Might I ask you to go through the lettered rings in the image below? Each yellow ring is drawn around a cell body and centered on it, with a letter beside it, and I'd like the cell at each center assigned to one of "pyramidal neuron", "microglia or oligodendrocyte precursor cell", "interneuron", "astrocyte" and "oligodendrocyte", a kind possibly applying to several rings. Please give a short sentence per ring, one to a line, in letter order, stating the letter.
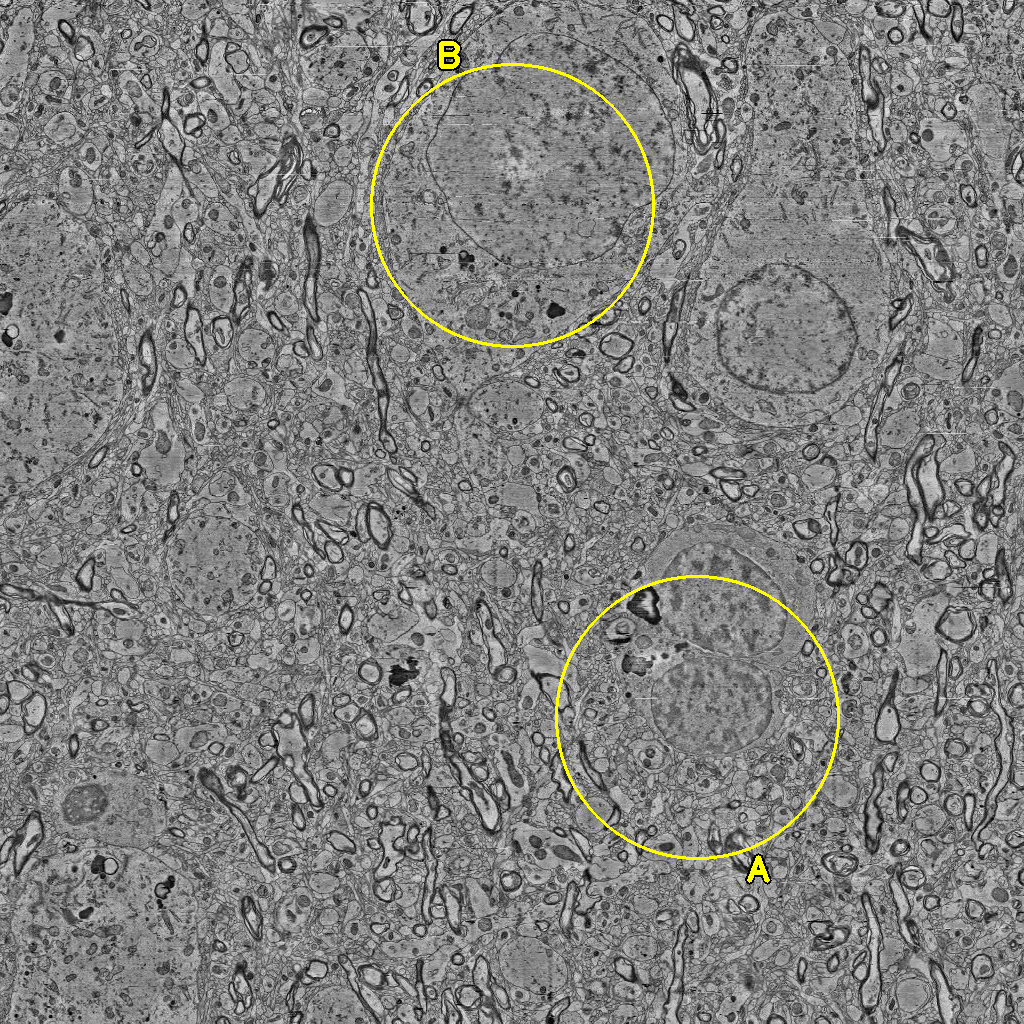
Ring A is centered on the body of an oligodendrocyte.
Ring B is centered on the body of a pyramidal neuron.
